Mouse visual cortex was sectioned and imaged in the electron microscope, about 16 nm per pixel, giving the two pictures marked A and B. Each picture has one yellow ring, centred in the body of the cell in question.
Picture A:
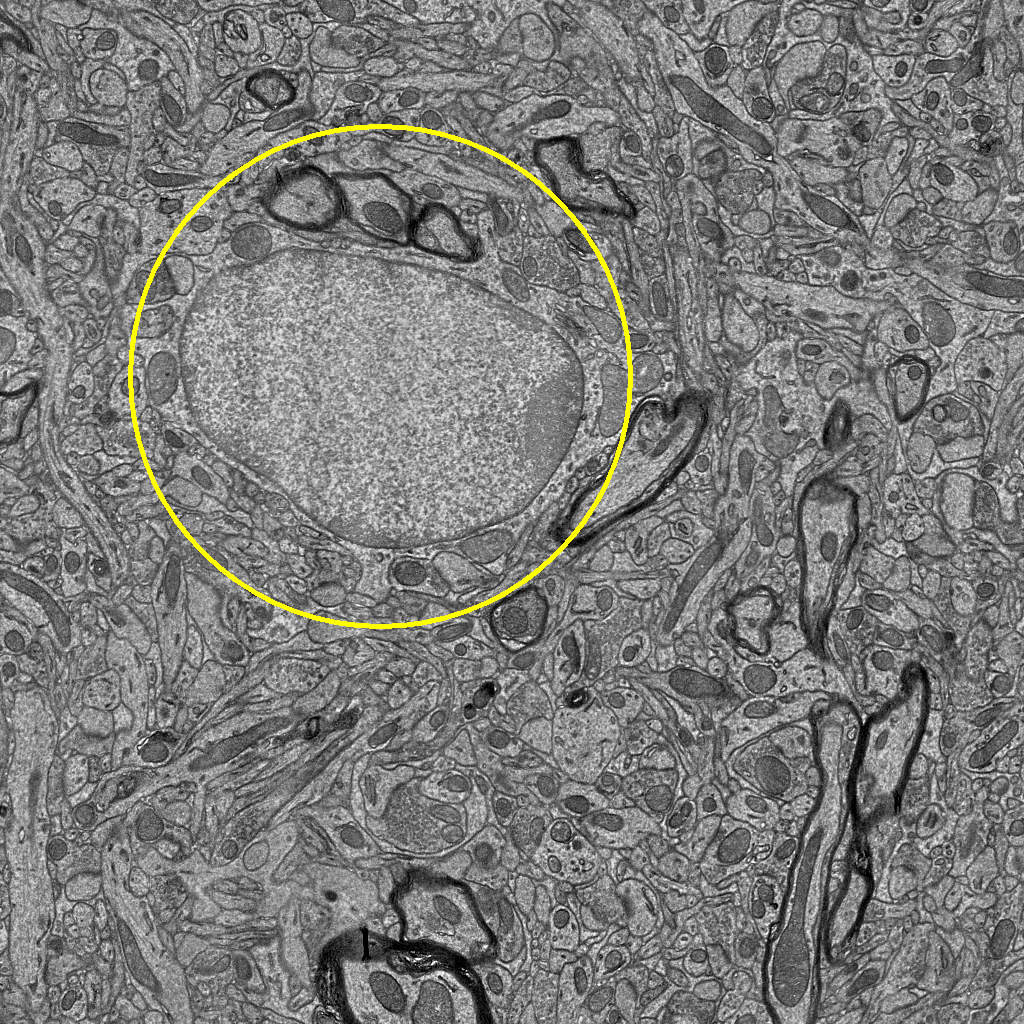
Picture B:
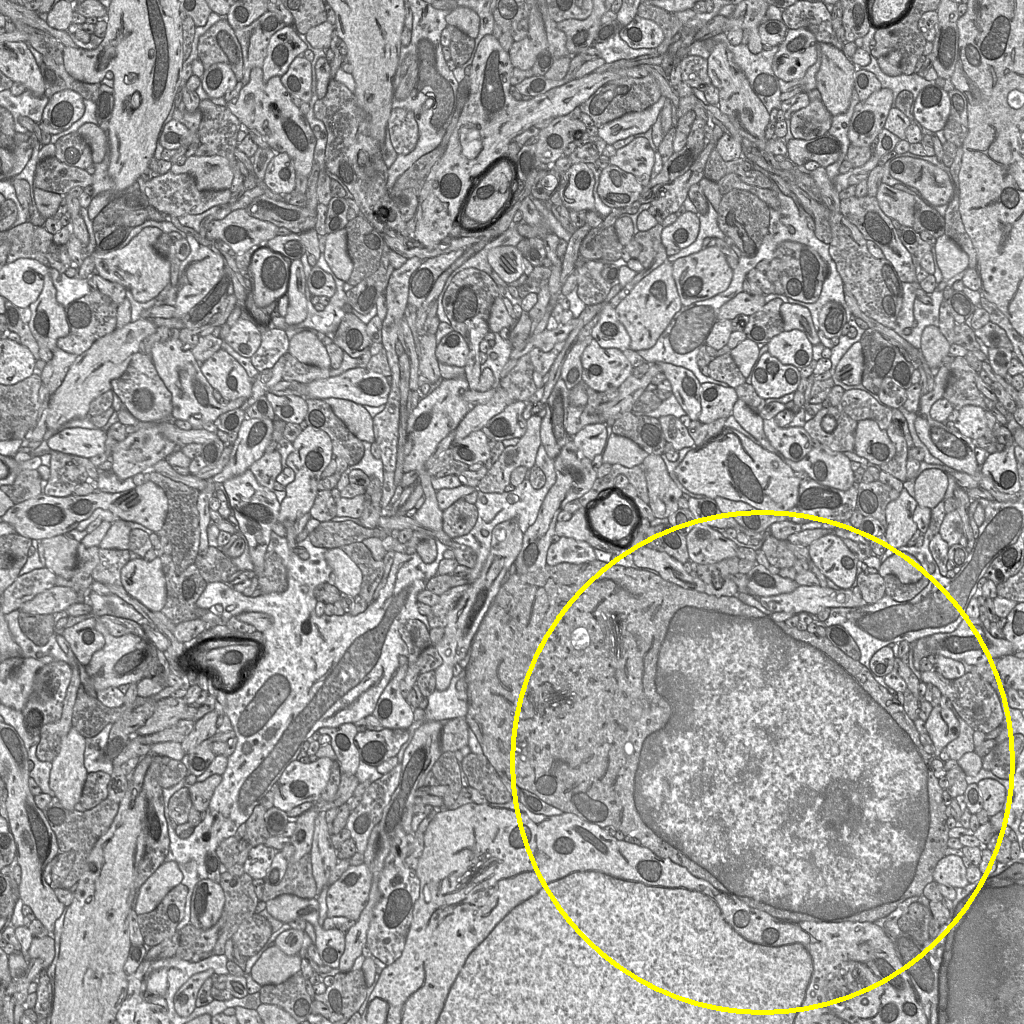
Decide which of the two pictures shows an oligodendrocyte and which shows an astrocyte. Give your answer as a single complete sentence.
Picture A is of an astrocyte, and picture B is of an oligodendrocyte.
